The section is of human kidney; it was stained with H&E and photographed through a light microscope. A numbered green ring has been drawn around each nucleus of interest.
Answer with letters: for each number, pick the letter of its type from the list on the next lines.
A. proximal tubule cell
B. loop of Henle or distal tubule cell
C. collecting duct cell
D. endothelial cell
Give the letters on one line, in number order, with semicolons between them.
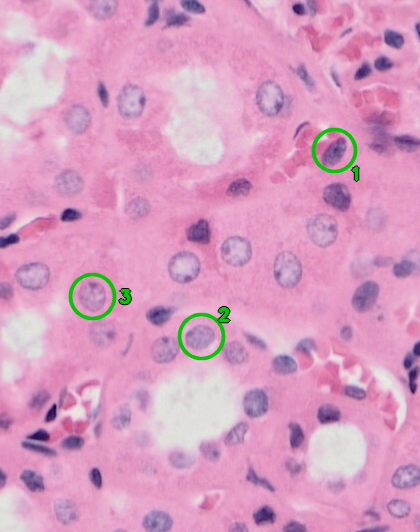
D; B; A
